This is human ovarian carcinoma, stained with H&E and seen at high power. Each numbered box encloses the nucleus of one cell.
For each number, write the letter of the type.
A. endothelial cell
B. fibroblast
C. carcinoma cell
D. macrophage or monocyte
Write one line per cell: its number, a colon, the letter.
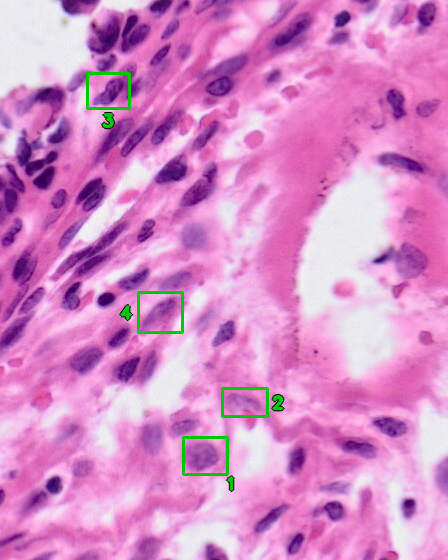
1: B
2: B
3: D
4: B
